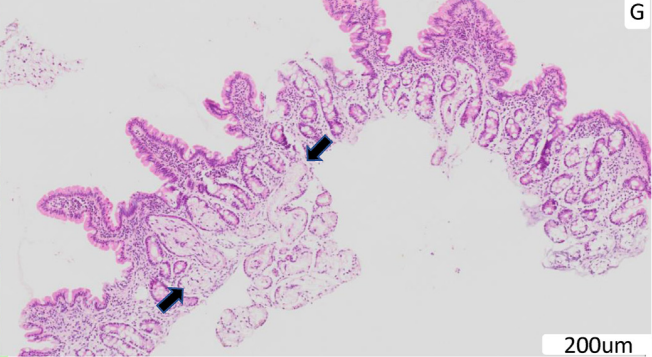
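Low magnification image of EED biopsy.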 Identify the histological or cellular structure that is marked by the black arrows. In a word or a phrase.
Brunner’s gland.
